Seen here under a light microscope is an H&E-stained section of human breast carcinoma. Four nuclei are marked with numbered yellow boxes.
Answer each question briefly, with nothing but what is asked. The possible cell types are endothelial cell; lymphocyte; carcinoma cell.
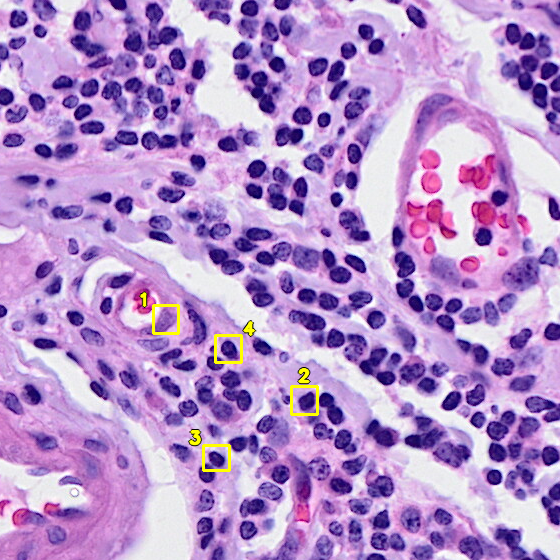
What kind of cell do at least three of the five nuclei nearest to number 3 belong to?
lymphocyte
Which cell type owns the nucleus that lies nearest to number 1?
endothelial cell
